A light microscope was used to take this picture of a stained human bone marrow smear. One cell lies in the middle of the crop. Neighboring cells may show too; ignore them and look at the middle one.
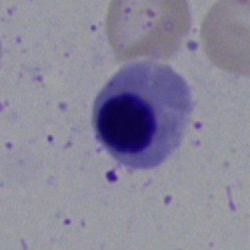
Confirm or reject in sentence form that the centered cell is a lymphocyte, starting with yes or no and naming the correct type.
No, at the middle of the crop is a normoblast, not a lymphocyte.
